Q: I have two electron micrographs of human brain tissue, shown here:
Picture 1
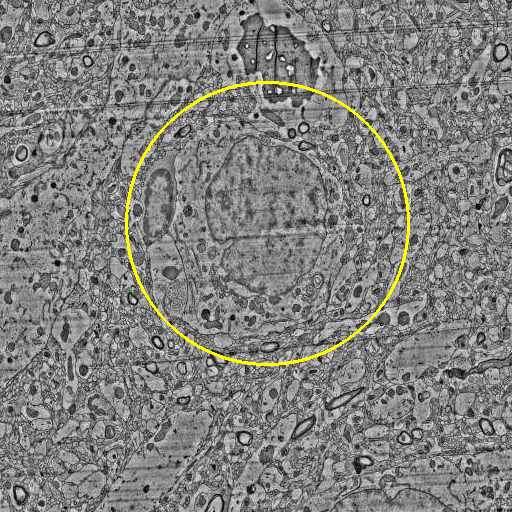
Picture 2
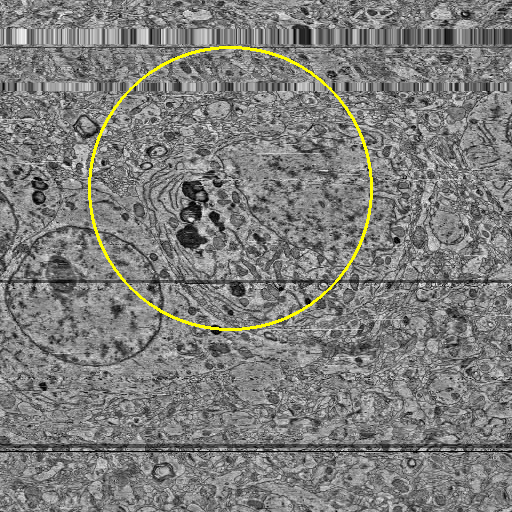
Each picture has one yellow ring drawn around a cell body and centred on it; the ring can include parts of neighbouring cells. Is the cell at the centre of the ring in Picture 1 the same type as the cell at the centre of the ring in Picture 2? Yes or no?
yes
